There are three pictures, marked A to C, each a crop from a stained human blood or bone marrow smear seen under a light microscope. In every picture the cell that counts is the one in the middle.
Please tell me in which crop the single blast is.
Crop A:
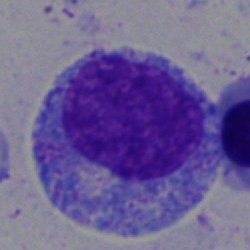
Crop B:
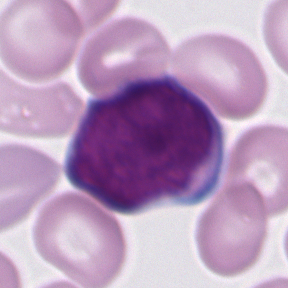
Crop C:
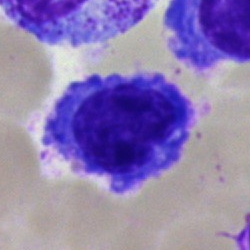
B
